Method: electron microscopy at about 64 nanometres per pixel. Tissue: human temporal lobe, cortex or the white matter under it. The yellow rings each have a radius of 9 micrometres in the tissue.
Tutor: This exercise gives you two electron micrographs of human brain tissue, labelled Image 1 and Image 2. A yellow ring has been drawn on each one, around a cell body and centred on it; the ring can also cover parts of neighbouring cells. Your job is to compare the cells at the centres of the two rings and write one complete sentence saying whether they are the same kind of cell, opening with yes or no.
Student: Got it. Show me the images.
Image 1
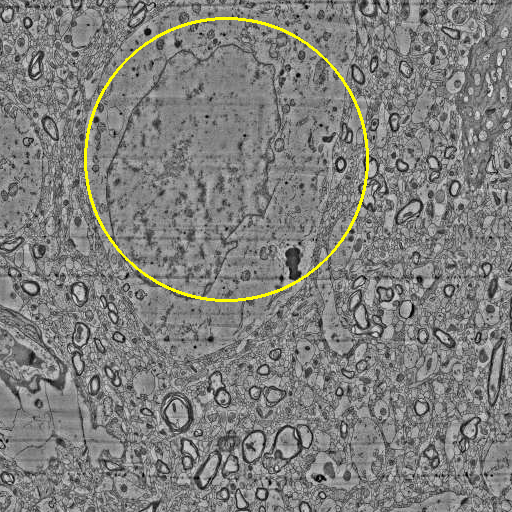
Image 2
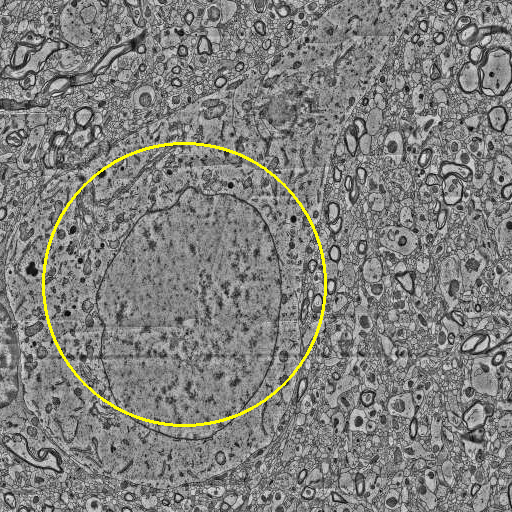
Yes, the two cells belong to the same kind.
